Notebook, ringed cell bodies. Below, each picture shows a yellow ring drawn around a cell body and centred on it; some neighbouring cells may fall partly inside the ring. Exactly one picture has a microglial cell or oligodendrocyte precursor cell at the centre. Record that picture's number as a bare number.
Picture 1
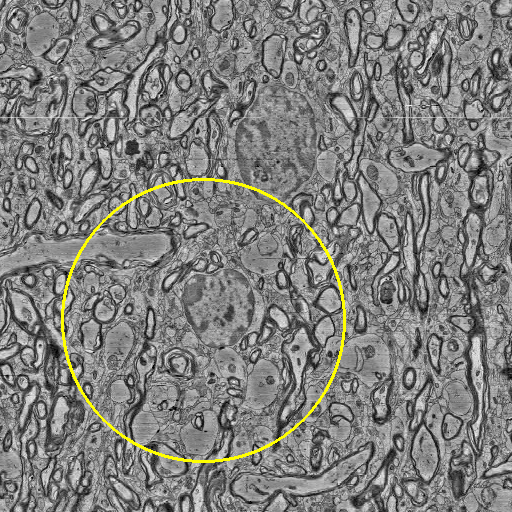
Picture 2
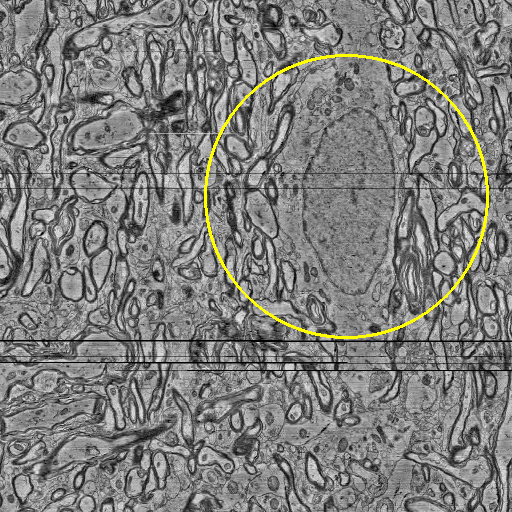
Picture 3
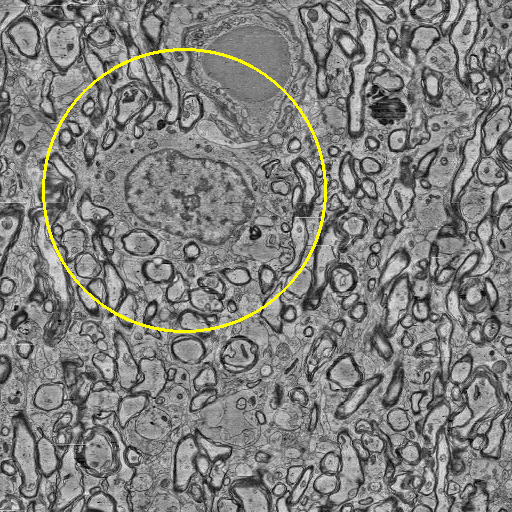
1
